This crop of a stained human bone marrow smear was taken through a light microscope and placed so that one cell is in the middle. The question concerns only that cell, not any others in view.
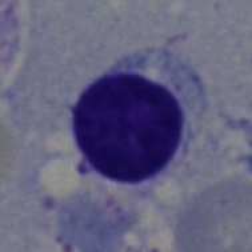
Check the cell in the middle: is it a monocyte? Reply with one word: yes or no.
no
